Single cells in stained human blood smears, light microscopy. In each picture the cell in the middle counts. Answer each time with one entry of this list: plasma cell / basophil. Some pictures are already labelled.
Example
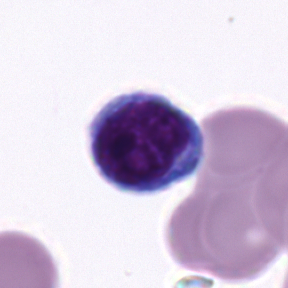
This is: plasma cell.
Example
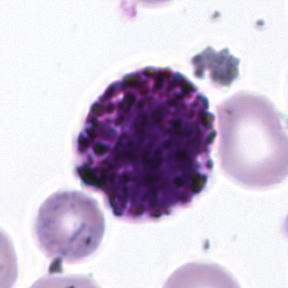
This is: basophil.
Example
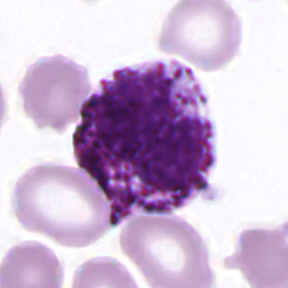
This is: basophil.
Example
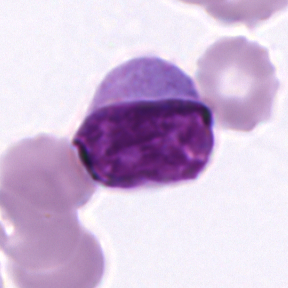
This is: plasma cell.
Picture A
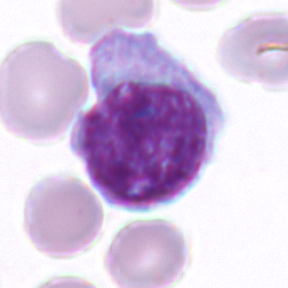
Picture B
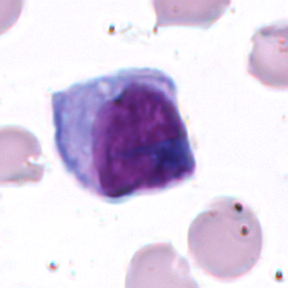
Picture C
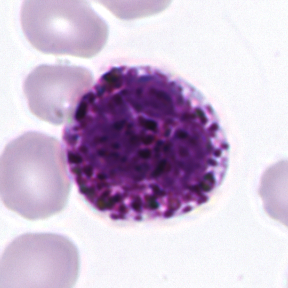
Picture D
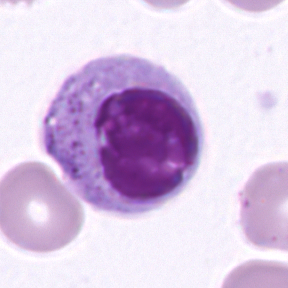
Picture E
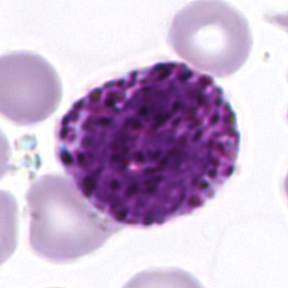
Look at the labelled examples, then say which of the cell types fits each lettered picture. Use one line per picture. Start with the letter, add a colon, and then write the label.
A: plasma cell.
B: plasma cell.
C: basophil.
D: plasma cell.
E: basophil.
